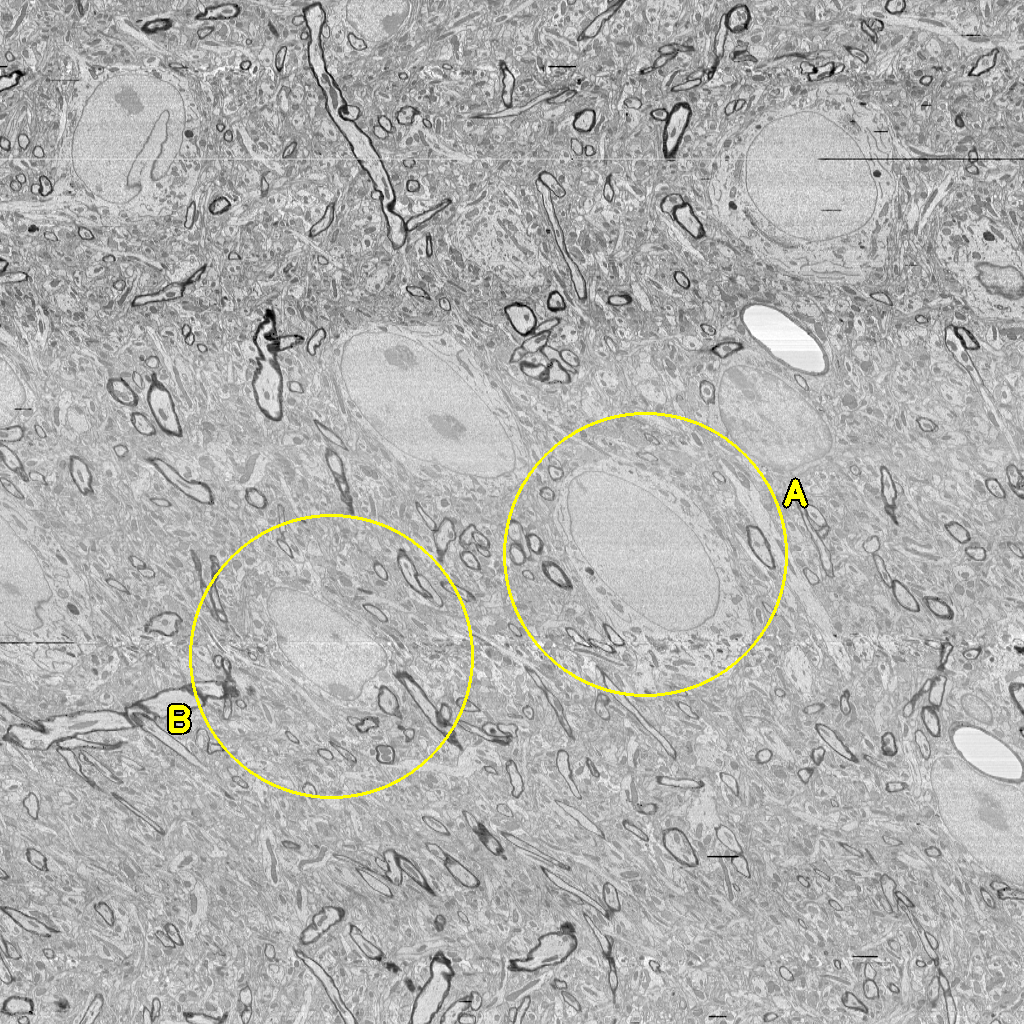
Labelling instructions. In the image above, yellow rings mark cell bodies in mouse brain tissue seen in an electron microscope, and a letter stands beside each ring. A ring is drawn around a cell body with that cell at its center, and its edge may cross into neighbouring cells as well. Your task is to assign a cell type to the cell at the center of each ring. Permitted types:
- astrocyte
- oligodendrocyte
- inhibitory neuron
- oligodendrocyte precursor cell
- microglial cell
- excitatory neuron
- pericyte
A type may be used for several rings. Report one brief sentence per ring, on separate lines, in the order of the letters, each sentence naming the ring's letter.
The cell at the center of ring A is an excitatory neuron.
The cell at the center of ring B is an astrocyte.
